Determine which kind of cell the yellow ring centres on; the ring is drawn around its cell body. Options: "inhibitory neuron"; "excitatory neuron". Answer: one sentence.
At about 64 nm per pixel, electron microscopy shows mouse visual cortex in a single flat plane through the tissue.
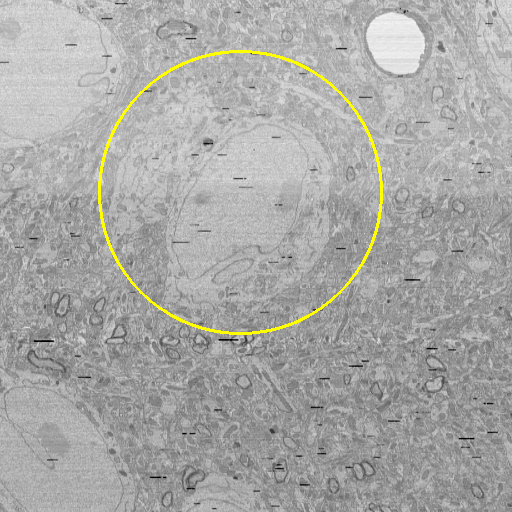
The ring centres on an excitatory neuron.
